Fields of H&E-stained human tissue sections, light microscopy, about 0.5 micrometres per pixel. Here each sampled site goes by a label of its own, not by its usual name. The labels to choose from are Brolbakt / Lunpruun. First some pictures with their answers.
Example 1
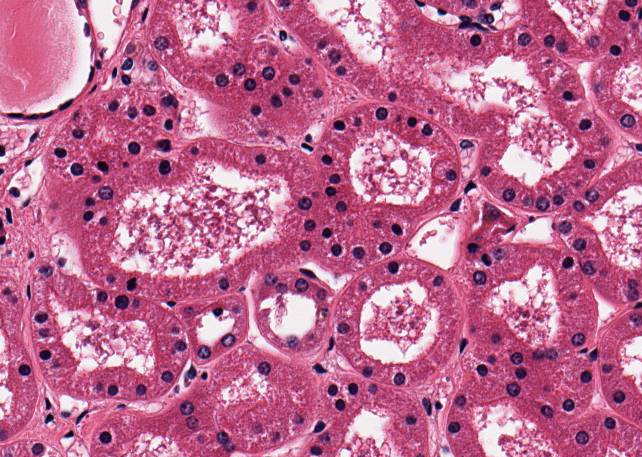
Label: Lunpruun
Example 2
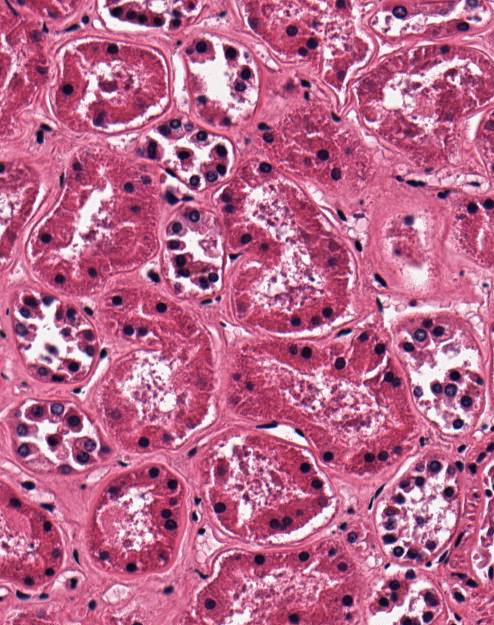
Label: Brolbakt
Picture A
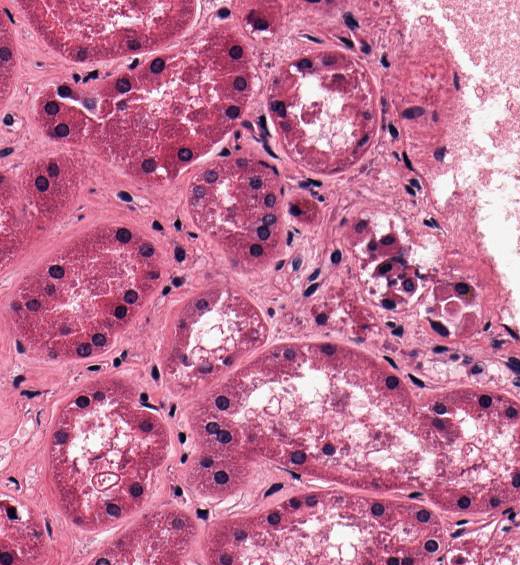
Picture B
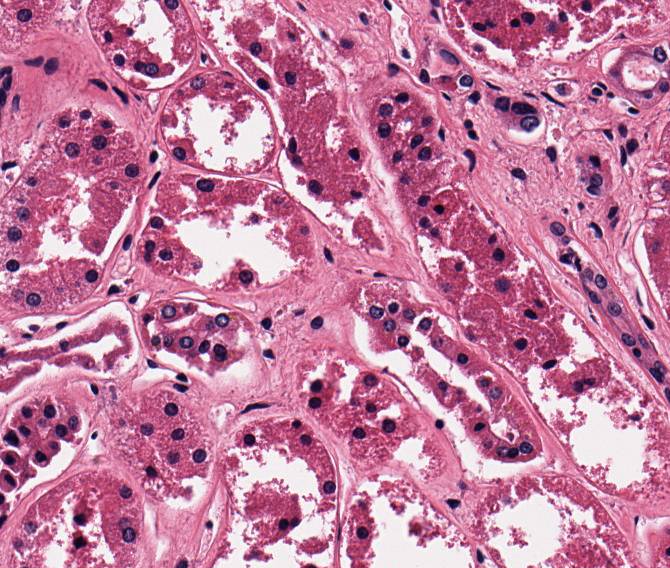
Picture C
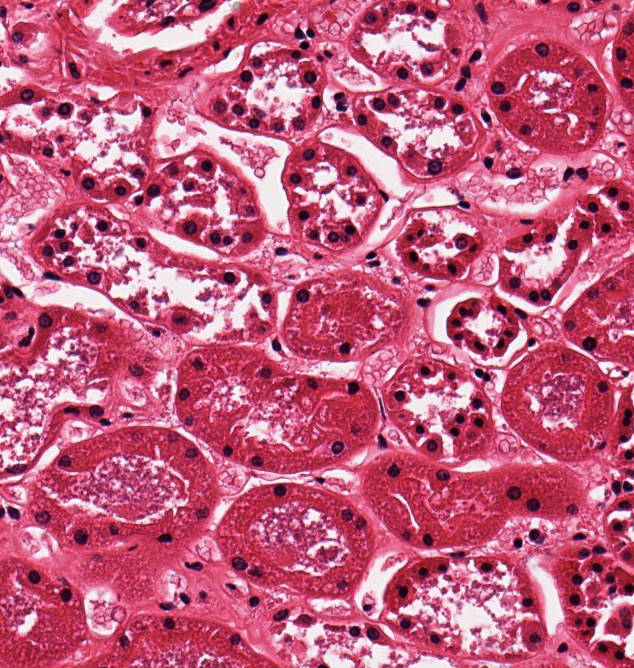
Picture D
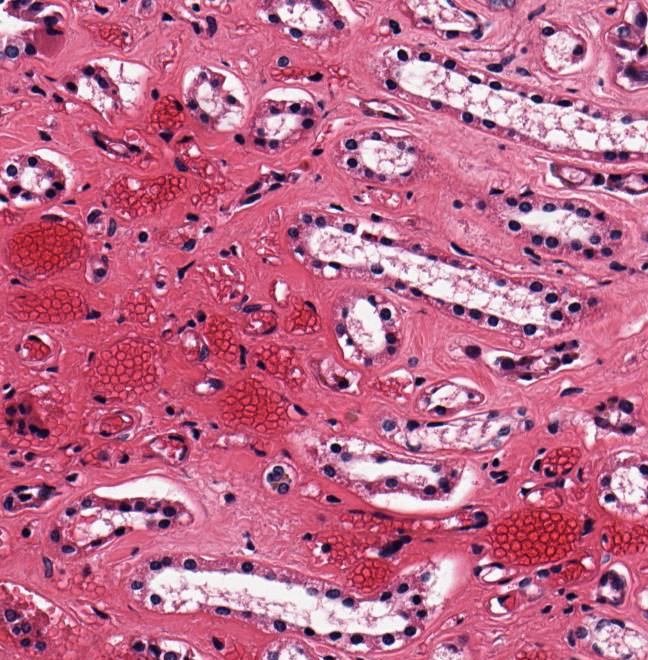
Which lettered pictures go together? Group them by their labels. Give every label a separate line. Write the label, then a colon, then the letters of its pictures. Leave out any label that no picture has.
Brolbakt: A, B, C, D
